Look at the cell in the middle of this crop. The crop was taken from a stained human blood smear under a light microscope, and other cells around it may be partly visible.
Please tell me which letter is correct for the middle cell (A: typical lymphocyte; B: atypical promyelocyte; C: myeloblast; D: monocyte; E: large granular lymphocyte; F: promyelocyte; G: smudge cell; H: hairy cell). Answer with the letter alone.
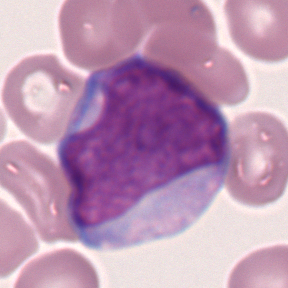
B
